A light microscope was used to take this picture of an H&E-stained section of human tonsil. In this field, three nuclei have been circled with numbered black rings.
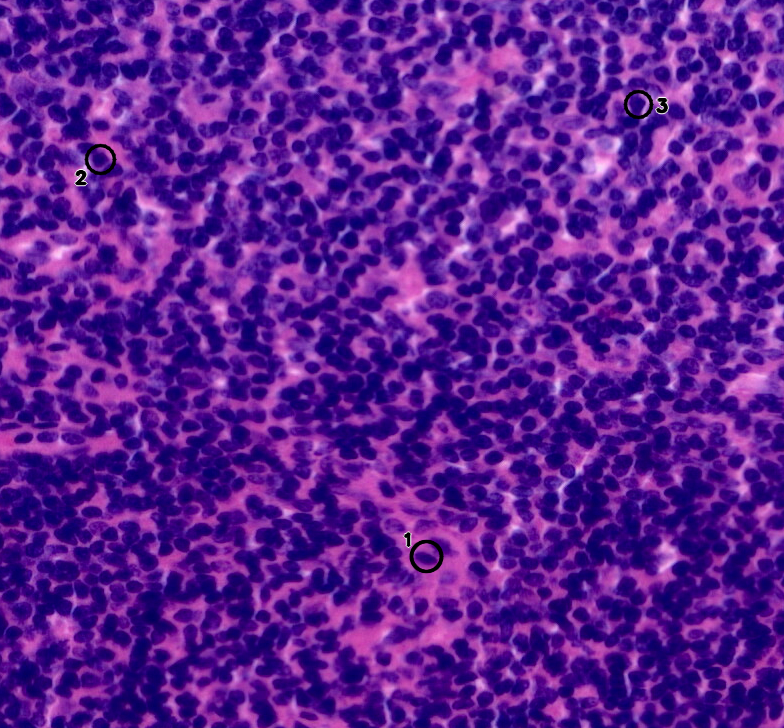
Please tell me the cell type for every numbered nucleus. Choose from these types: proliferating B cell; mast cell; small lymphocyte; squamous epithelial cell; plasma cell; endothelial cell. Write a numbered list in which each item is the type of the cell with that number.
1. endothelial cell
2. small lymphocyte
3. small lymphocyte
